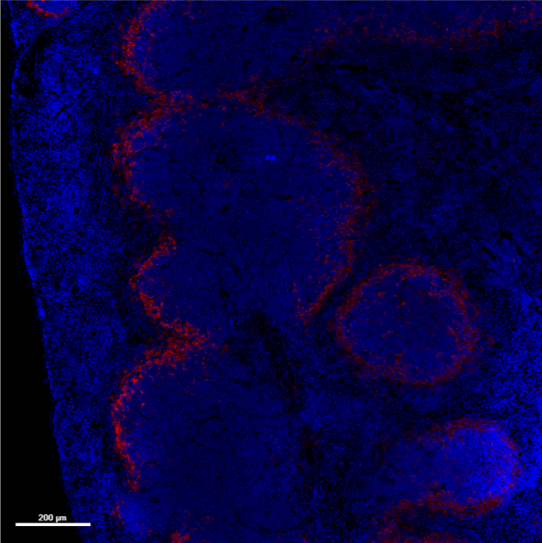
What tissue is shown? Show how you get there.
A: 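Spleen. Large rounded, densely nucleated lymphoid nodules lie within looser surrounding tissue. A capsule-like edge borders the section on the left. The red label forms rings around the rounded nodules.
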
